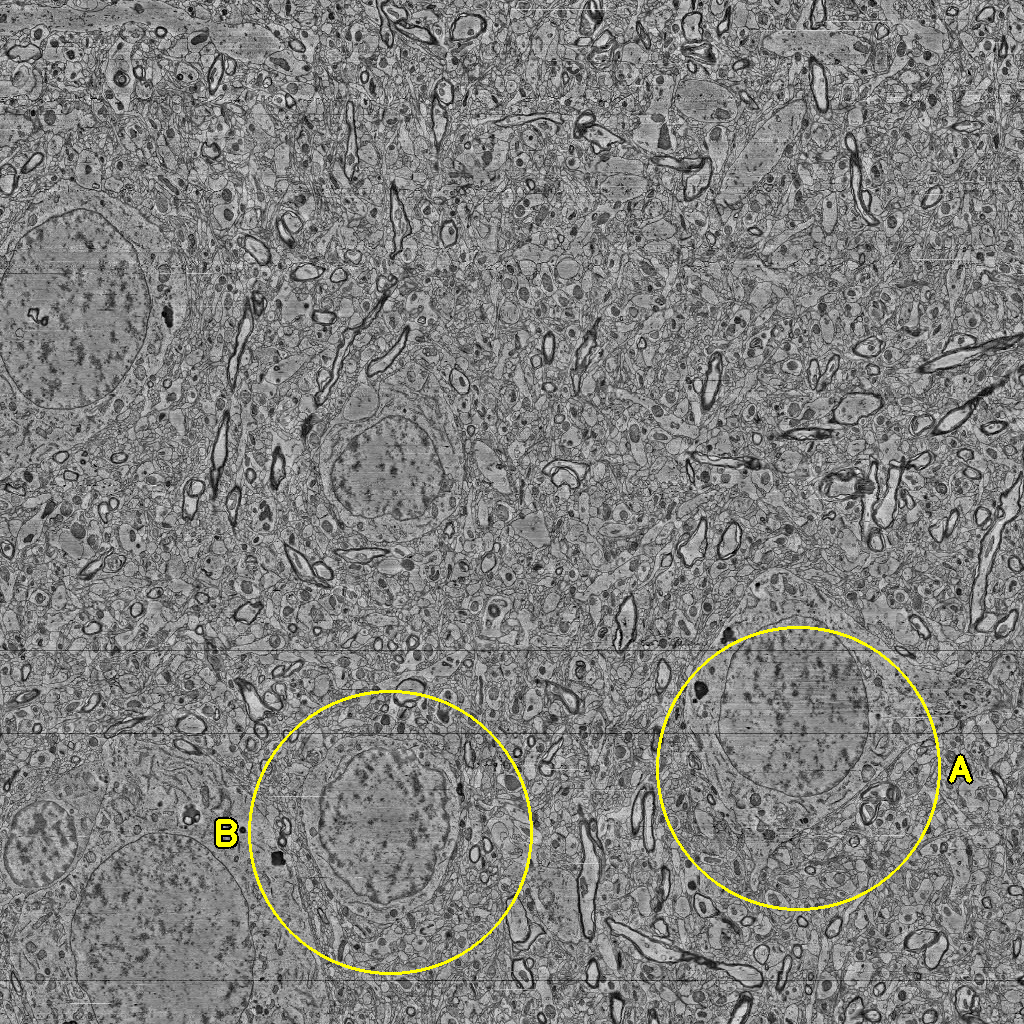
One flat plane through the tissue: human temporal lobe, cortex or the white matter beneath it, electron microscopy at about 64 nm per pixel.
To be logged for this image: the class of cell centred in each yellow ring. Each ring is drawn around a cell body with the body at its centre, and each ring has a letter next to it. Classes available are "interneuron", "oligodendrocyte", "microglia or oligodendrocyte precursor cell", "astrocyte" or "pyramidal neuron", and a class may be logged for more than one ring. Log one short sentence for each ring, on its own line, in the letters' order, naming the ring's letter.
The class recorded for ring A is a pyramidal neuron.
The class recorded for ring B is an interneuron.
